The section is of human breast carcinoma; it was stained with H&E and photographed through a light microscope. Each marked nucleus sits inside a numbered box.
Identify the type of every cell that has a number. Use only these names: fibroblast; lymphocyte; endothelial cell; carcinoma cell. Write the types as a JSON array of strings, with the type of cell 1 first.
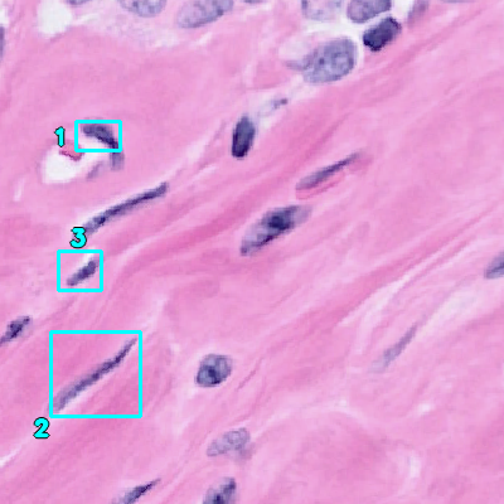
["endothelial cell", "fibroblast", "fibroblast"]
